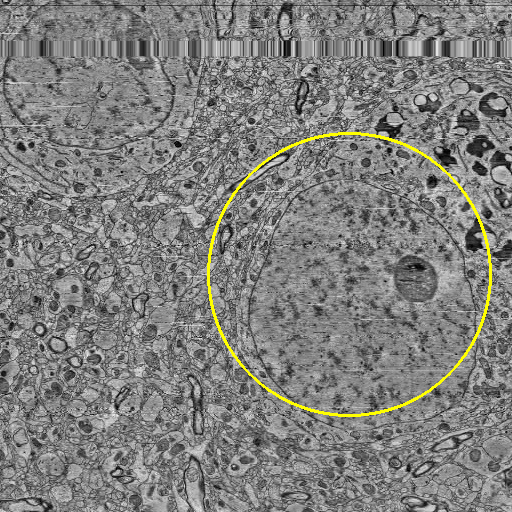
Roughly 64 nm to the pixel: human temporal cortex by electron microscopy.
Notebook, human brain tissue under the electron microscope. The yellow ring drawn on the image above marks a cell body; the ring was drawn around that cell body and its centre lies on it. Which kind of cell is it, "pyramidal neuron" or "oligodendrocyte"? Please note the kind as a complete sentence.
The marked cell body is that of a pyramidal neuron.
